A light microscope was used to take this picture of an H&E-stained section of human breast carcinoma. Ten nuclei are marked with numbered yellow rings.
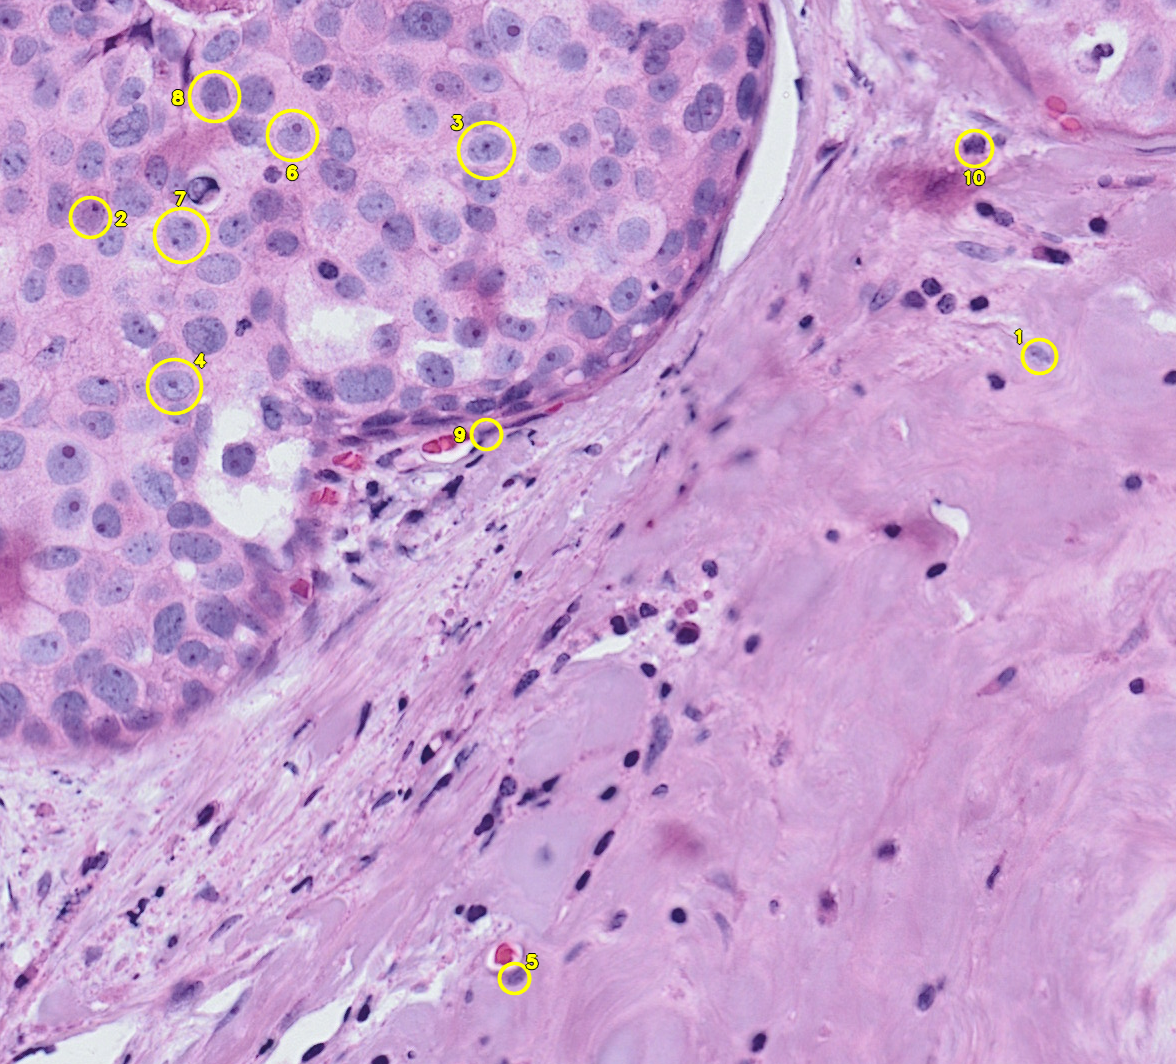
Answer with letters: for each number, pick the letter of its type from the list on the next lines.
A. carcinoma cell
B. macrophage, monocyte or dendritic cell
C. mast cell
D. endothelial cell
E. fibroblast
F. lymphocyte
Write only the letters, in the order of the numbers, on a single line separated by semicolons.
E; A; A; A; D; A; A; A; D; F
